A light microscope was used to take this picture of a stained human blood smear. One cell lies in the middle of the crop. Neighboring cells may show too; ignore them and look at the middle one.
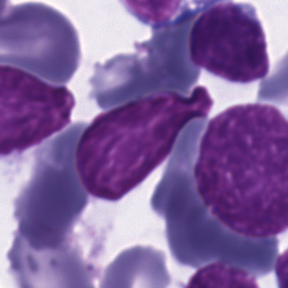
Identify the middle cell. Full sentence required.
Occupying the centre of the crop is a myeloblast.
